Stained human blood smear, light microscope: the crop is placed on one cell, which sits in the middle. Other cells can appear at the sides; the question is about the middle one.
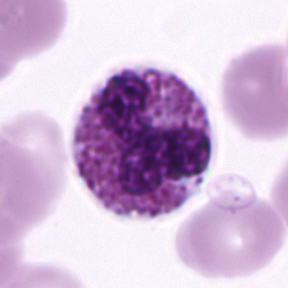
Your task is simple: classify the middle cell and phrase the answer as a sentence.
The middle cell in this particular crop is an eosinophil.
